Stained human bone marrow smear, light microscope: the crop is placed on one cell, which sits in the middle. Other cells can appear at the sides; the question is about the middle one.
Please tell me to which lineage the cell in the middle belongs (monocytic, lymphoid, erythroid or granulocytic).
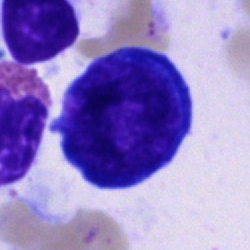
erythroid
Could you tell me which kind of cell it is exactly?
proerythroblast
